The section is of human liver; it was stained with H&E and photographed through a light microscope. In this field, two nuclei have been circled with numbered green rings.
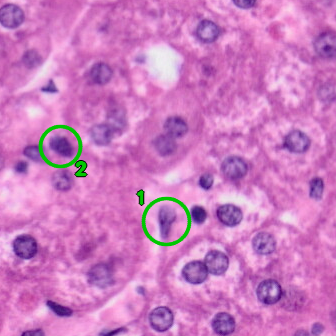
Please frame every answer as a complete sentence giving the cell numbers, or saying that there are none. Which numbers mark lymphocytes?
Any lymphocytes present in the section are not among the numbered cells.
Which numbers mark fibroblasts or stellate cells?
Just one of the numbered cells is a fibroblast or stellate cell, namely number 2.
